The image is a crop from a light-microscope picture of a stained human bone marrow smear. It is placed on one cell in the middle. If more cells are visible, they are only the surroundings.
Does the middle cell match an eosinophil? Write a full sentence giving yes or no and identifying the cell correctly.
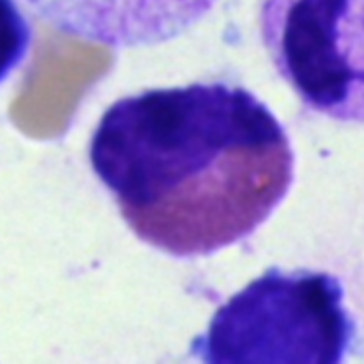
Yes, the cell at the centre of the field is an eosinophil.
